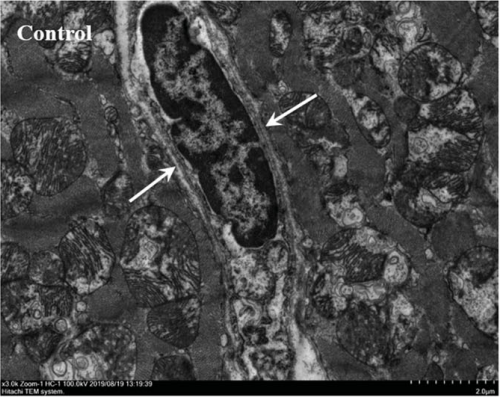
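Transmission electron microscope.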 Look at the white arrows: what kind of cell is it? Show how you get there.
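The arrows point to a thin cell layer lining a narrow vessel lumen. An elongated nucleus with dark chromatin lies in the vessel wall. The surrounding cells are packed with mitochondria. On this evidence: endothelial cells.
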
